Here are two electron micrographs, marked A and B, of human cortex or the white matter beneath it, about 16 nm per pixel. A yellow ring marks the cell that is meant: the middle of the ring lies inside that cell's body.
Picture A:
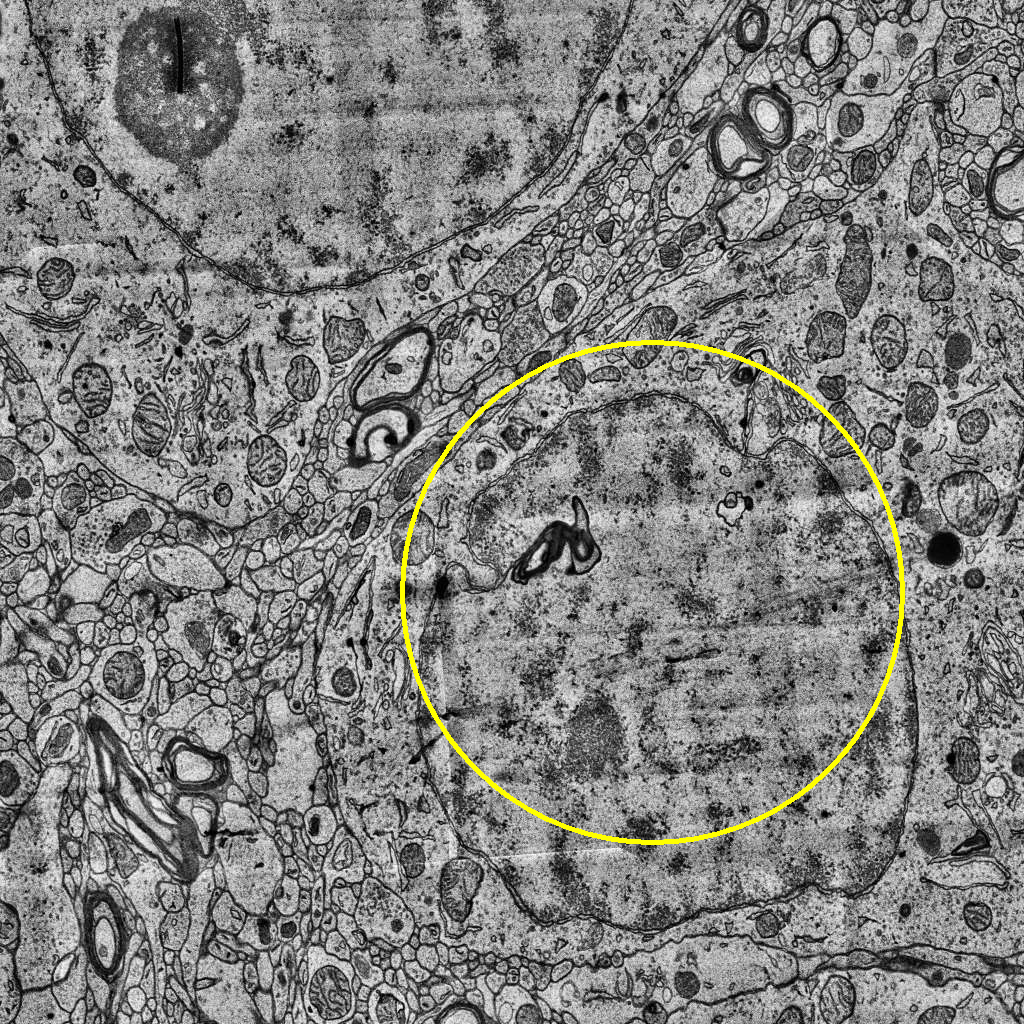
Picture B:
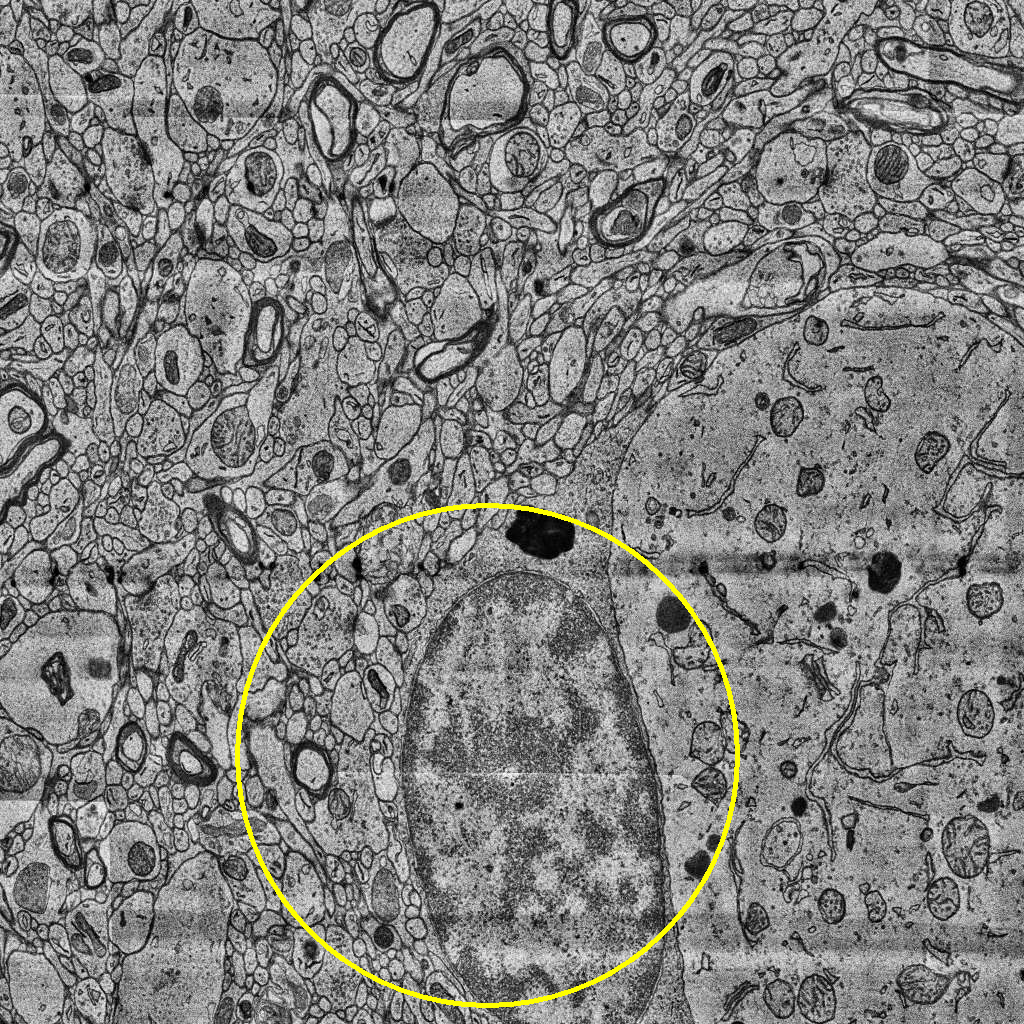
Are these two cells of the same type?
No, they differ: the cell is an interneuron in picture A and an oligodendrocyte in picture B.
